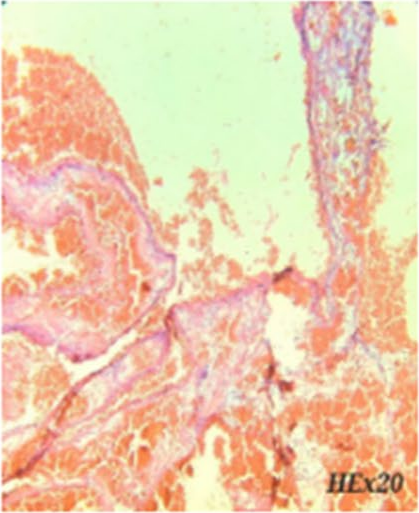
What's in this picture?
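Irregular wide spaces fill most of the field. They are packed with orange-red material made of many small, tightly crowded, anucleate elements. Thin, wavy pink to faintly purple bands of fibrous tissue run between and around these spaces and form their walls. The walls are delicate, and no thick muscular layer is seen. Taken together, this looks like dilated, congested, thin walled vascular channels filled with red blood cells, as in a hemangioma.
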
